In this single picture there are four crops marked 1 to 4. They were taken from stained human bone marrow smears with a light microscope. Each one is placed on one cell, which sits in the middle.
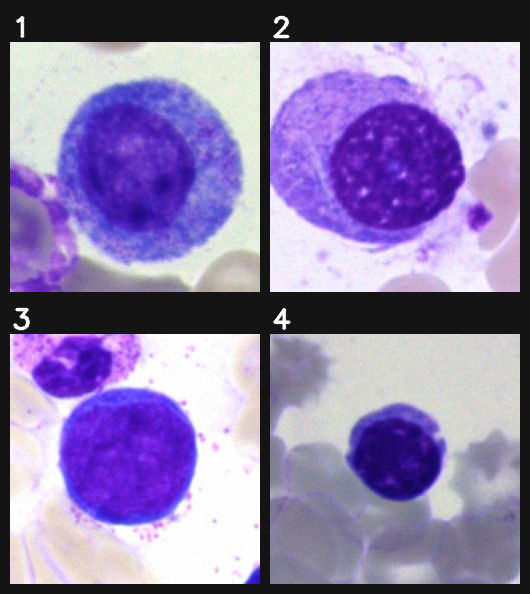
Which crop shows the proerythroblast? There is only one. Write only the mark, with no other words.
3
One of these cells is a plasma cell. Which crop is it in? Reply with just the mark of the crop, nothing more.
2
